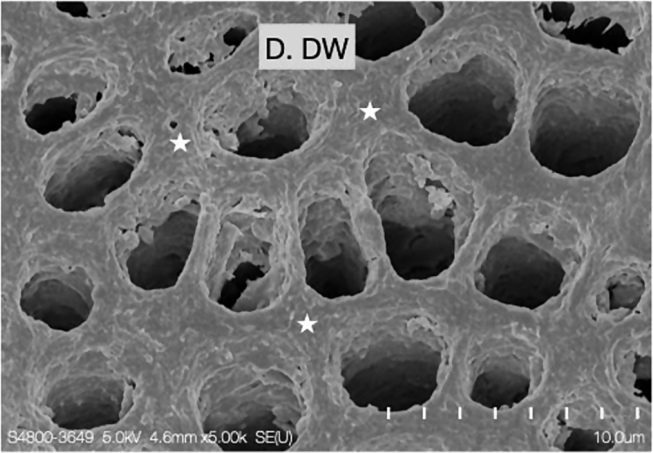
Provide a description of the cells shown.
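This scanning electron micrograph shows the surface of dentin, with numerous dentinal tubule openings seen end-on. The openings are round to oval, several micrometres across, and closely spaced. Most lie wide open and dark, and their walls can be followed some way down into the depth. Only a few contain small irregular fragments. Near some tubule mouths the edges appear eroded and irregular.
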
